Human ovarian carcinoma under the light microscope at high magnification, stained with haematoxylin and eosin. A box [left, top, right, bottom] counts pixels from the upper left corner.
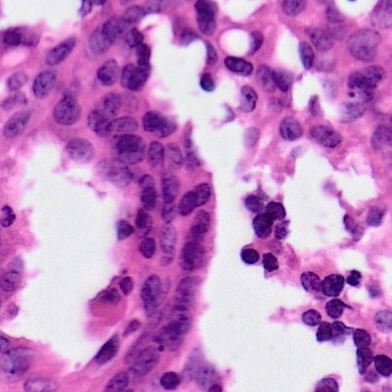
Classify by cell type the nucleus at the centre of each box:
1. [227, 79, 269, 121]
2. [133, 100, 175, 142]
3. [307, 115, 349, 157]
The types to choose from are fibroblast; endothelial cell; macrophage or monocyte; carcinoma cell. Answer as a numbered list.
1. macrophage or monocyte
2. carcinoma cell
3. carcinoma cell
